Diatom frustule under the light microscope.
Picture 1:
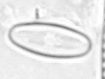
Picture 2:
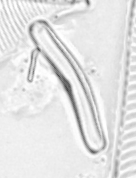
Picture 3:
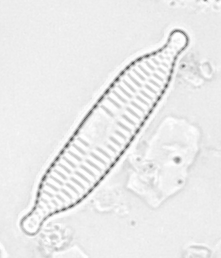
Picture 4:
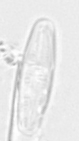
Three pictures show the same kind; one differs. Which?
Picture 3: Fragilaria, while the others are Achnanthidium.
